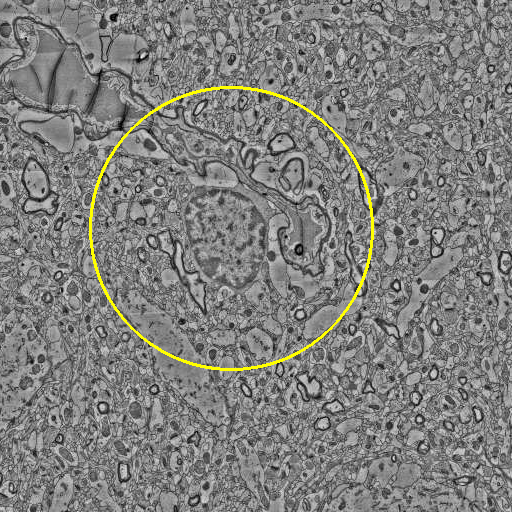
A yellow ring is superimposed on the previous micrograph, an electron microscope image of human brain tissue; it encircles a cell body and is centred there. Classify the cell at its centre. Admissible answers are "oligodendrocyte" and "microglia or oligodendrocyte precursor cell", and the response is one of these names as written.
oligodendrocyte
